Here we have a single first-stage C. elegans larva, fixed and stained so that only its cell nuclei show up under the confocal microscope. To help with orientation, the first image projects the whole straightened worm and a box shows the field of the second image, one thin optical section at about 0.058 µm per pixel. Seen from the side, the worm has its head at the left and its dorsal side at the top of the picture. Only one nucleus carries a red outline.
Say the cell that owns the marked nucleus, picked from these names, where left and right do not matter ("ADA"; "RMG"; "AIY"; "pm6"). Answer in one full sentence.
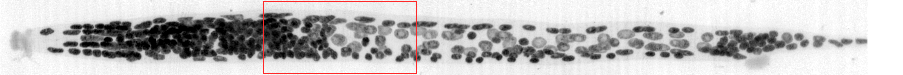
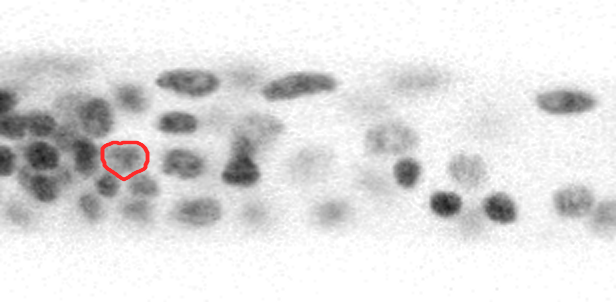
It belongs to pm6, a pharyngeal muscle cell.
